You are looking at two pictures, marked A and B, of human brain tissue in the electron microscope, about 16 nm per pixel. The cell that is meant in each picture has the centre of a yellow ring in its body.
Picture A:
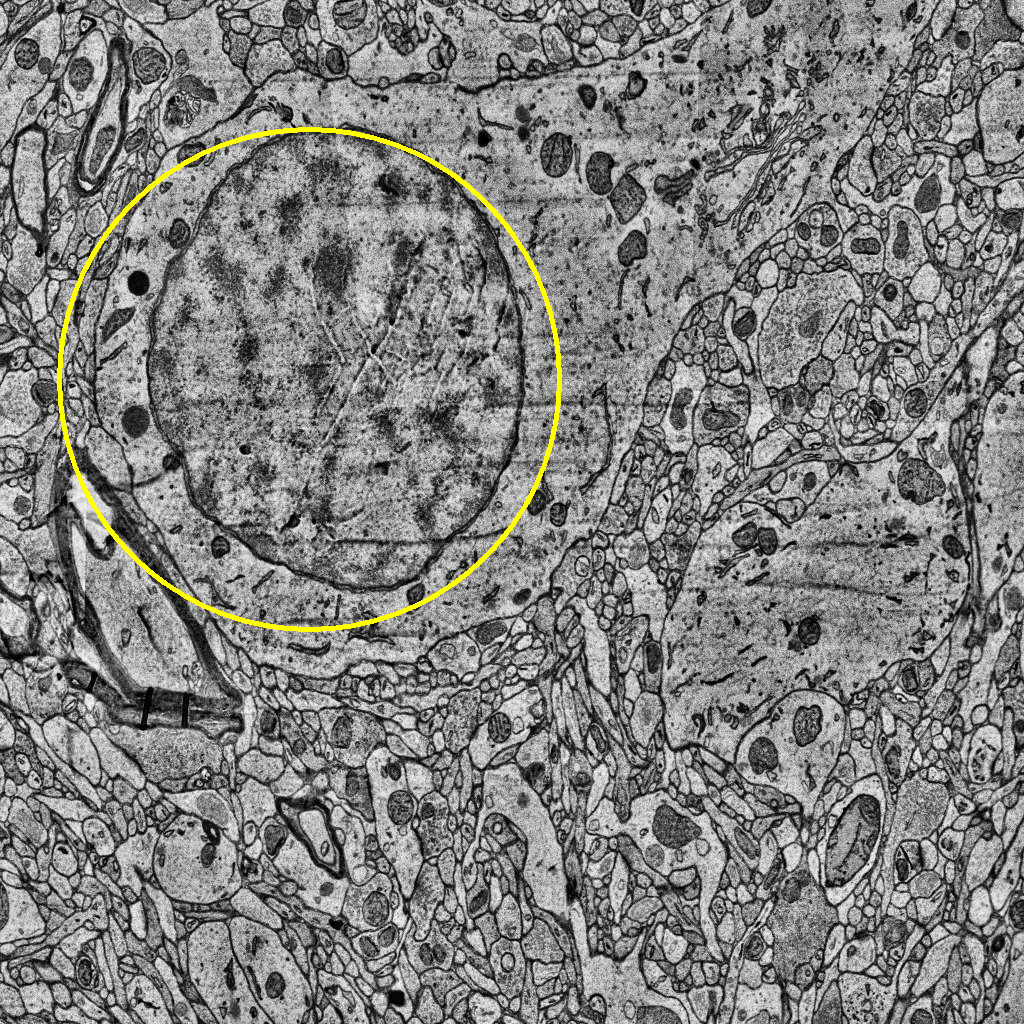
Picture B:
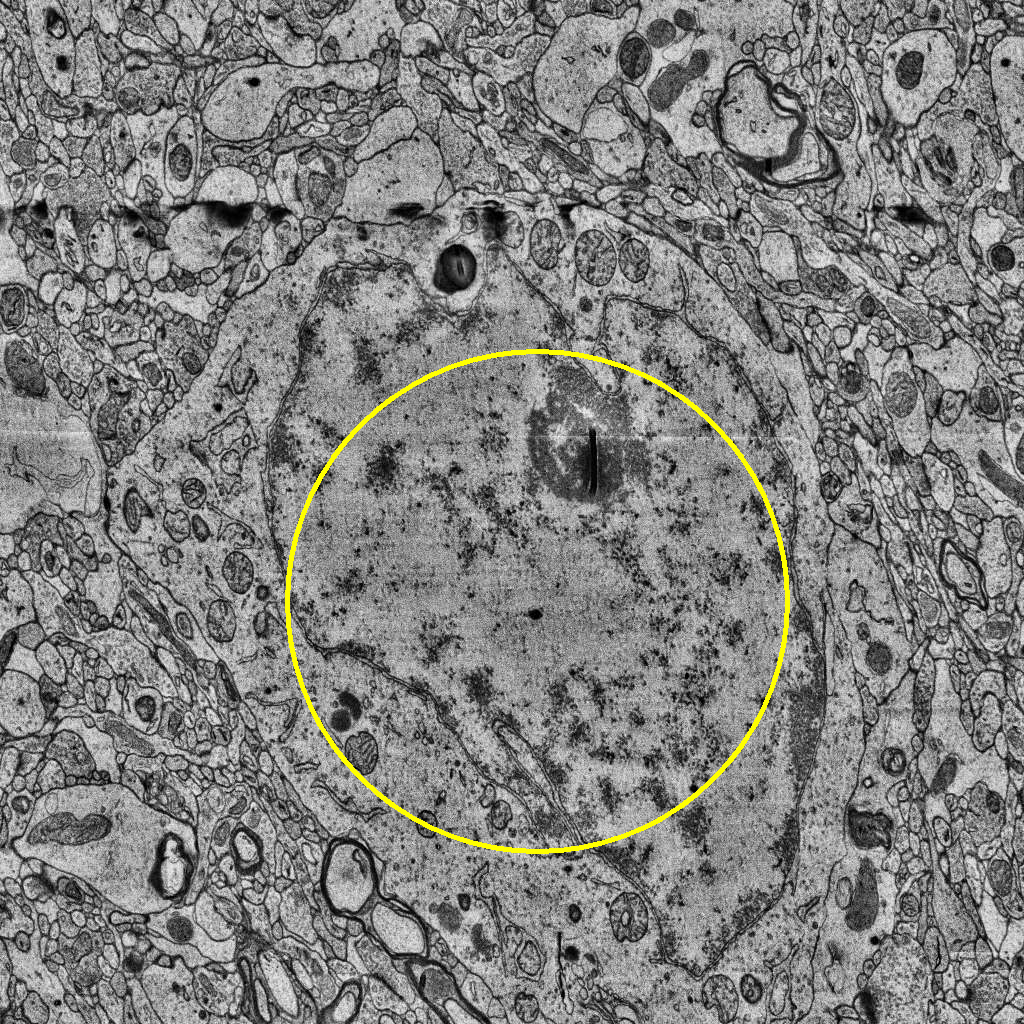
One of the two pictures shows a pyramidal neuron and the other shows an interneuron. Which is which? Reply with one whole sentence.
It is picture A that shows a pyramidal neuron, and picture B that shows an interneuron.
